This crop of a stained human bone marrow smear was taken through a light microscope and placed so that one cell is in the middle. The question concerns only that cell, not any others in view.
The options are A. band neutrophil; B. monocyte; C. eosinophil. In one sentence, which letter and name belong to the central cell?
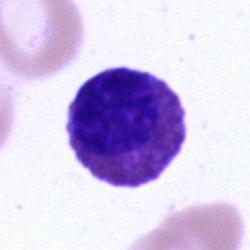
Option C holds up: the cell in the middle is an eosinophil.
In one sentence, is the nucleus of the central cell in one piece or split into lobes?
Key feature: a single compact nucleus, round, oval or kidney-shaped.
